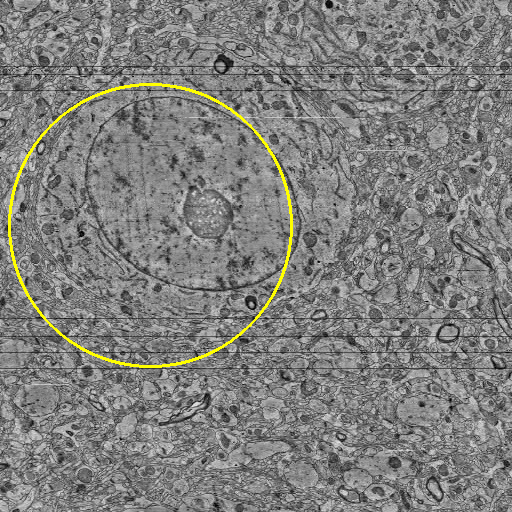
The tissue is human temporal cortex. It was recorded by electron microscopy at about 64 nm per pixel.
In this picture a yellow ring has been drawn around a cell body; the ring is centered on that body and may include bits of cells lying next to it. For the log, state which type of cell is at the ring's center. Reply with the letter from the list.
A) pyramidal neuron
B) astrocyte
A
